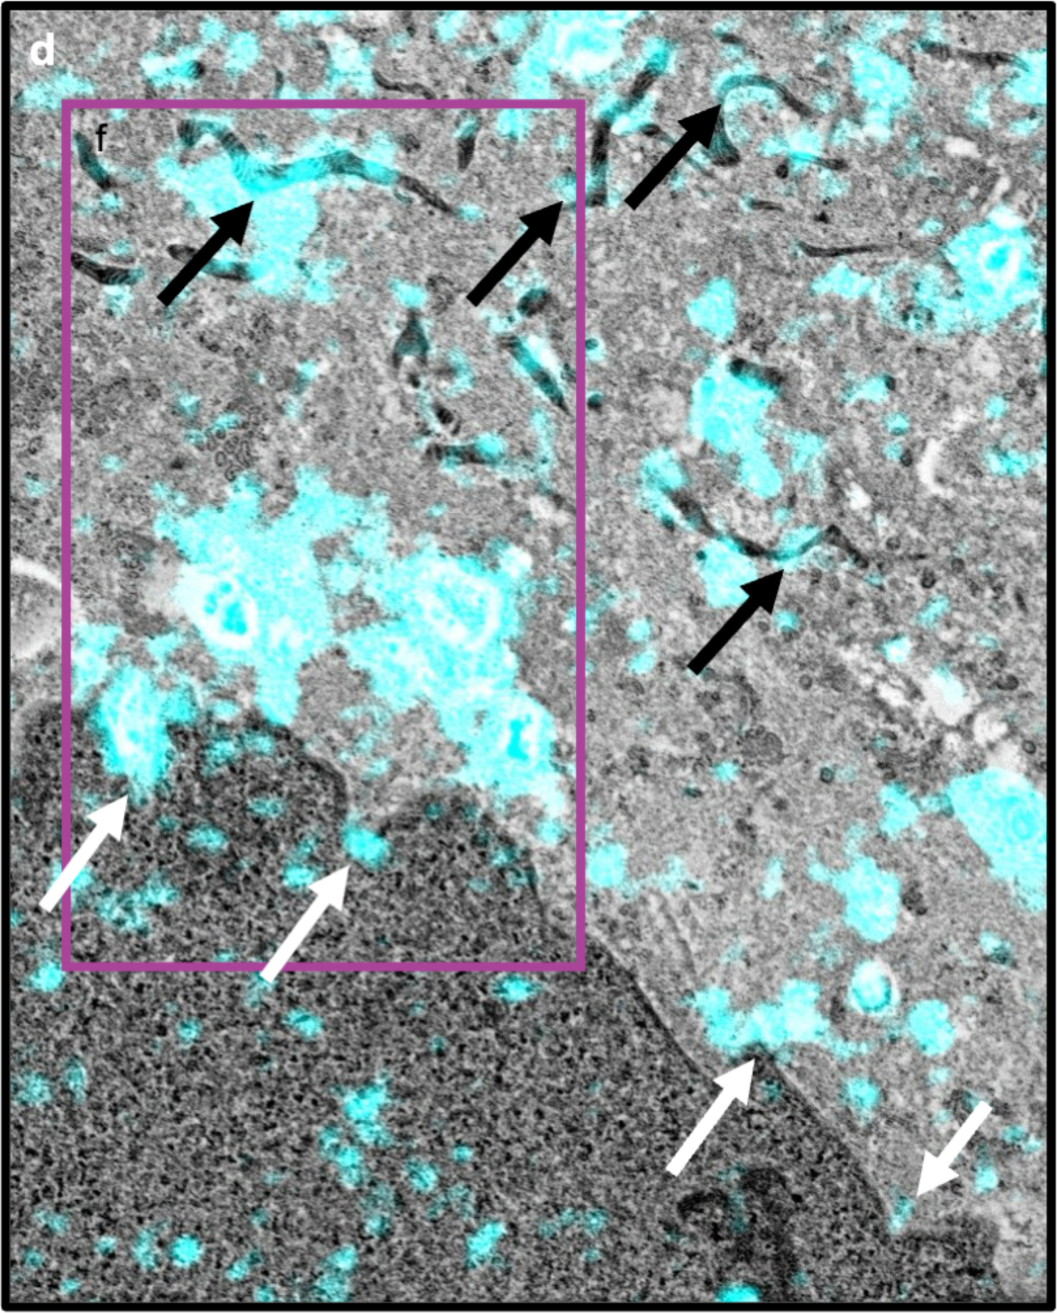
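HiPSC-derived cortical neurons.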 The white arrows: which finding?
Tortuous nuclear envelope foldings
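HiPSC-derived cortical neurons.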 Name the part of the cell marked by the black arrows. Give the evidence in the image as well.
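The arrows point to elongated, dark, curving organelles in the cytoplasm. Many similar dark elongated profiles are scattered through the cytoplasm.
Conclusion: mitochondria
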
